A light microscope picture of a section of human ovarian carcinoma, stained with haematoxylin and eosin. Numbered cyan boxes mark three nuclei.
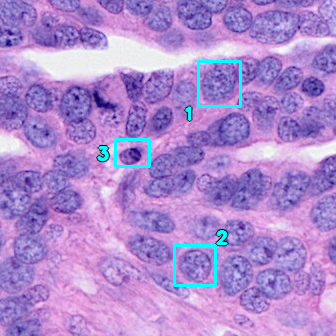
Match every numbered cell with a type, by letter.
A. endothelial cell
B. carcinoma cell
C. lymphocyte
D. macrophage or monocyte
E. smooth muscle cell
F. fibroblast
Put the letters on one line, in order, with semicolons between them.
B; B; D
